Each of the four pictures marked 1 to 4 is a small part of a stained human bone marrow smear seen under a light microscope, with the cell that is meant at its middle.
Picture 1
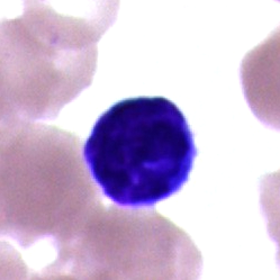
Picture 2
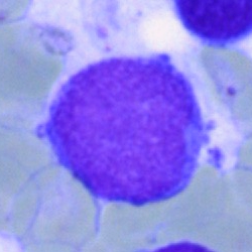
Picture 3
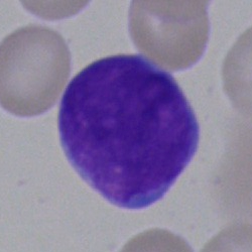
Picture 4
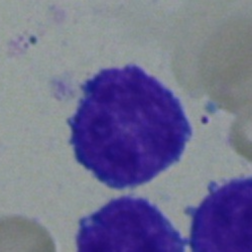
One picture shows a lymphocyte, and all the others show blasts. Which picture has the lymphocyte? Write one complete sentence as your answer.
It is picture 1 that shows the lymphocyte.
